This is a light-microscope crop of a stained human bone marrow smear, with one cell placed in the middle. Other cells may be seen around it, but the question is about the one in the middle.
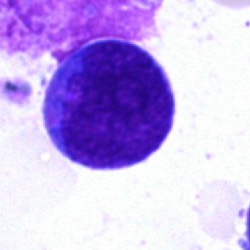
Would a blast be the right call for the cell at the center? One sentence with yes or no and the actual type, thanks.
Yes, the centered cell in this field is a blast.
